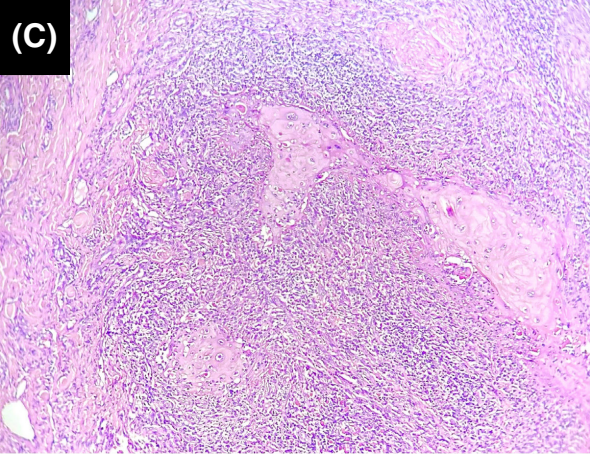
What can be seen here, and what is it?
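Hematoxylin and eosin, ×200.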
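This field shows a dense lymphocytic inflammatory infiltrate surrounding lobules of atypical squamous cells. The infiltrate consists of countless small cells with round, dark blue nuclei and scant cytoplasm packed in sheets. Within it lie irregular pink nests of larger squamous cells with eosinophilic cytoplasm.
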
